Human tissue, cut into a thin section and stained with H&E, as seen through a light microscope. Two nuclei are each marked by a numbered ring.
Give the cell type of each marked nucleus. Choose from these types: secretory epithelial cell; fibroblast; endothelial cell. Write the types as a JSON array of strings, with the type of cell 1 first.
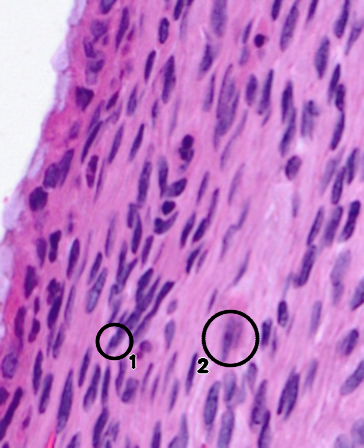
["fibroblast", "endothelial cell"]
